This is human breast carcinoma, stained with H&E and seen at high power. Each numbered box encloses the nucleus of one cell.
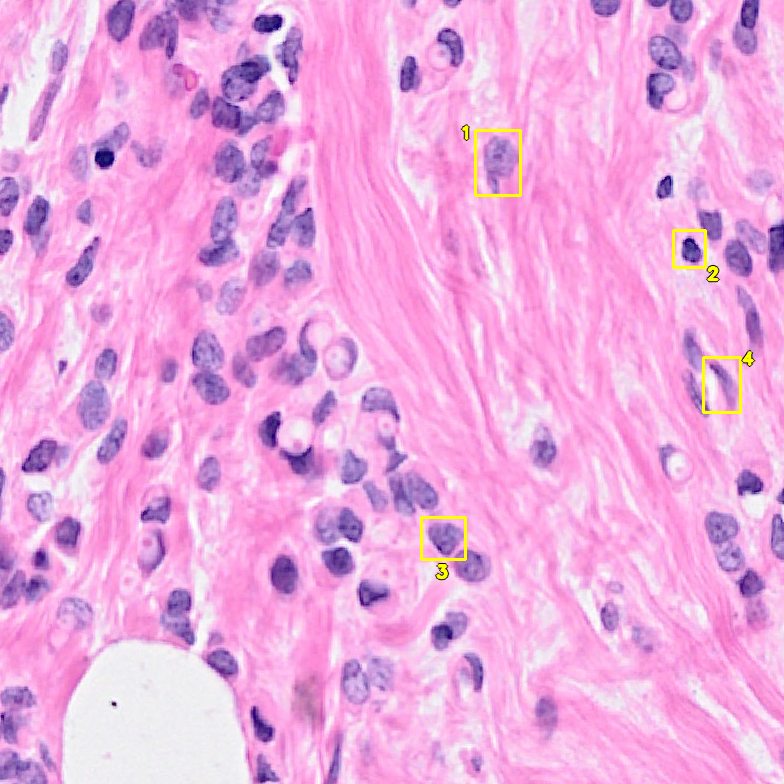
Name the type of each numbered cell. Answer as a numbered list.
1. fibroblast
2. lymphocyte
3. carcinoma cell
4. endothelial cell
